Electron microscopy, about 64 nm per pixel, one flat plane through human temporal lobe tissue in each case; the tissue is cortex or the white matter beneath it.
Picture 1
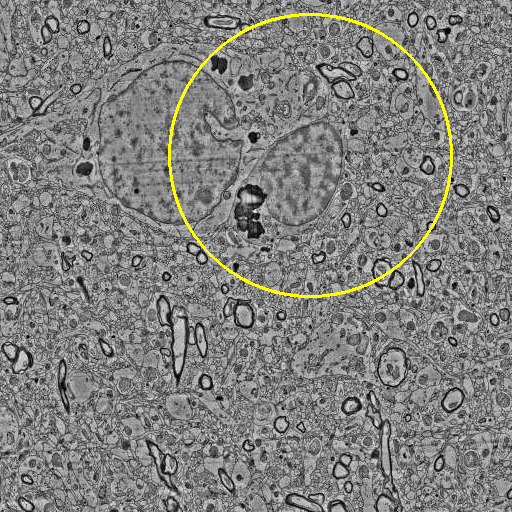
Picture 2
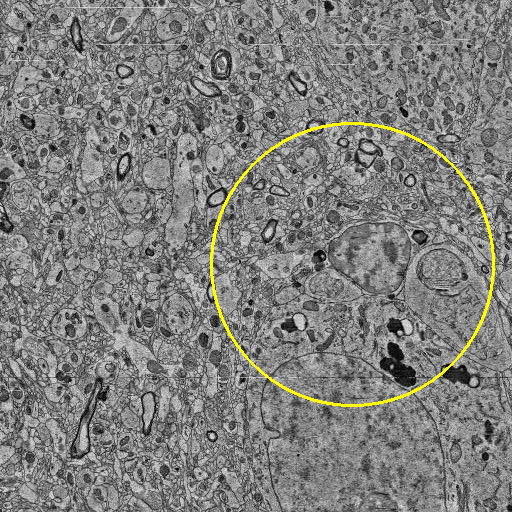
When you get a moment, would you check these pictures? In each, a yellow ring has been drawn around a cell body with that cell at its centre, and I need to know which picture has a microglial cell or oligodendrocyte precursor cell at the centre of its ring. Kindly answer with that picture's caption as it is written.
Picture 2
